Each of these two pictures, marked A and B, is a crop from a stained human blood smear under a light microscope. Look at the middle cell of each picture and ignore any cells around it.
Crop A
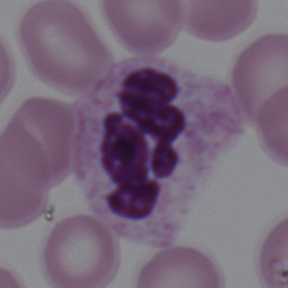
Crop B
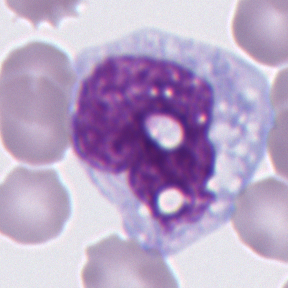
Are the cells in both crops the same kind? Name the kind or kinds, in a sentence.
No, the correct reading is a neutrophil in crop A and a monocyte in crop B.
